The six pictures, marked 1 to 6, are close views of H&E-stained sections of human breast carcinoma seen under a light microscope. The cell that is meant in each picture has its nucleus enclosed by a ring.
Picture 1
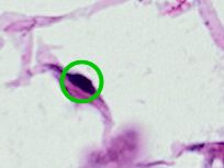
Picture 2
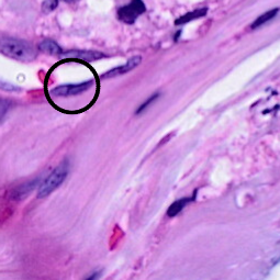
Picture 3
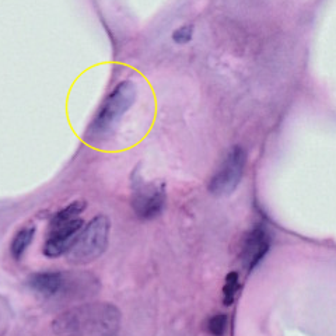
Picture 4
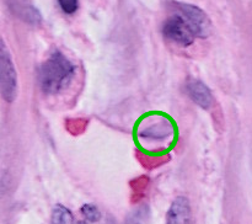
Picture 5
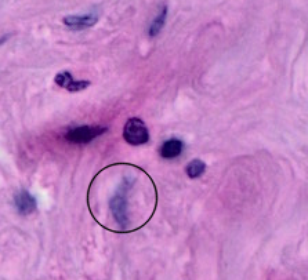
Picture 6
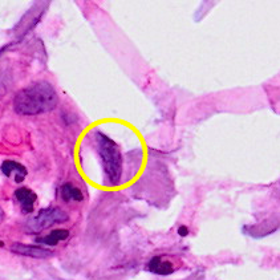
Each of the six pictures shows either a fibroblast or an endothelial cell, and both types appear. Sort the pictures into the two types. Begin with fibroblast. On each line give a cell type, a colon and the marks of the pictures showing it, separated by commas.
fibroblast: 3, 5, 6
endothelial cell: 1, 2, 4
